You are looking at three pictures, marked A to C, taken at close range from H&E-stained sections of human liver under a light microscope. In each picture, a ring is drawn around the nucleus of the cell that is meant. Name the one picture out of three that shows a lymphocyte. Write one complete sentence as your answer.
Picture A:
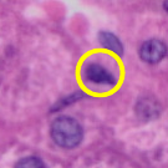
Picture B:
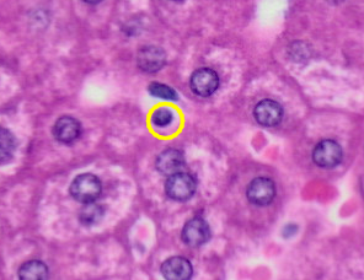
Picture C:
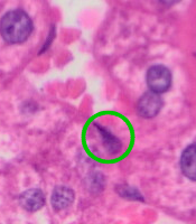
Picture B shows the lymphocyte.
